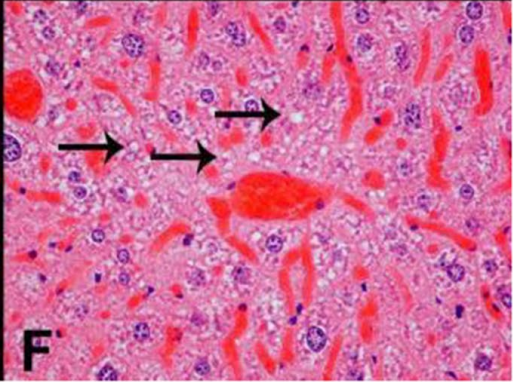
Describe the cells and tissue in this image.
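Liver parenchyma made of large polygonal hepatocytes arranged in plates around a central vein filled with red blood cells. The hepatocytes have round, centrally placed nuclei with prominent nucleoli and finely granular pink cytoplasm, in which many small clear round vacuoles are scattered without displacing the nuclei. Between the cell plates, sinusoids are distended with red blood cells and appear as bright red streaks radiating around the vein. Small, dark, elongated nuclei of sinusoidal lining cells lie along the sinusoids.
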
